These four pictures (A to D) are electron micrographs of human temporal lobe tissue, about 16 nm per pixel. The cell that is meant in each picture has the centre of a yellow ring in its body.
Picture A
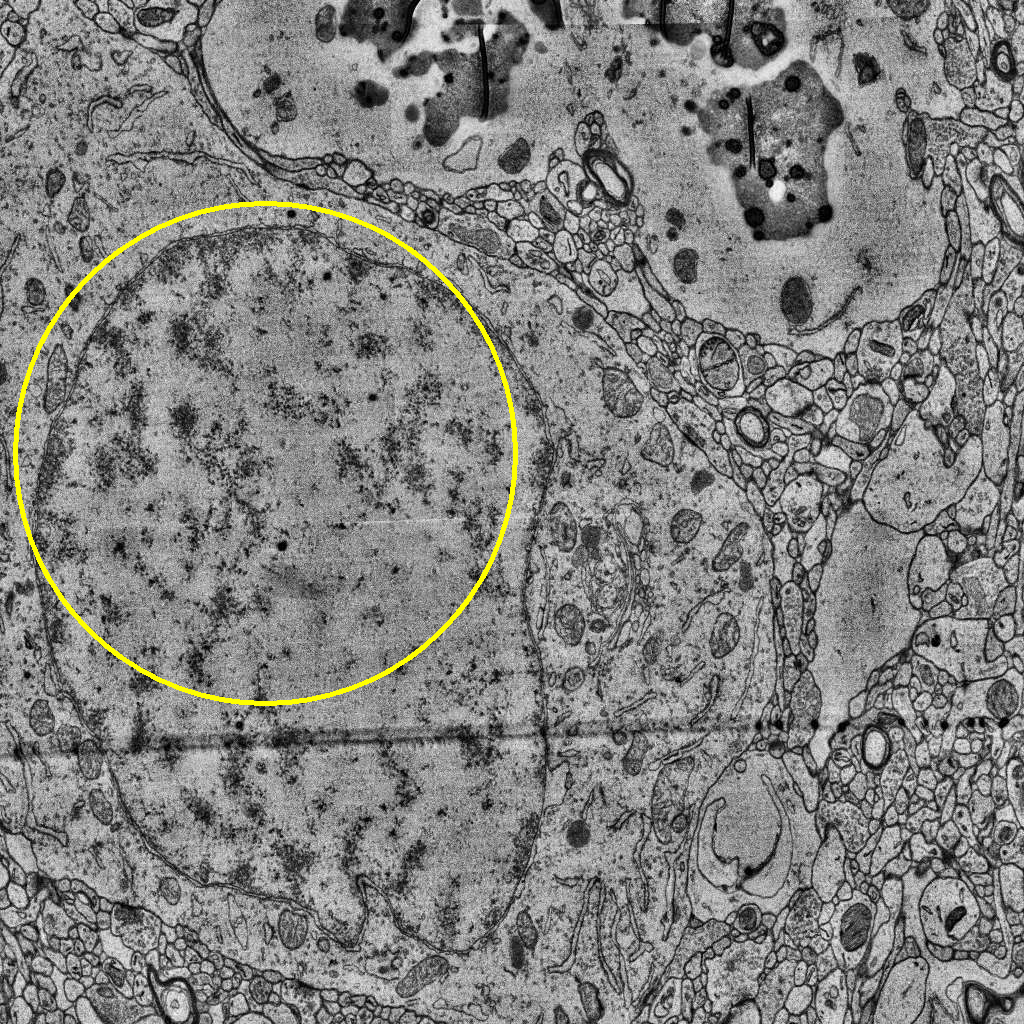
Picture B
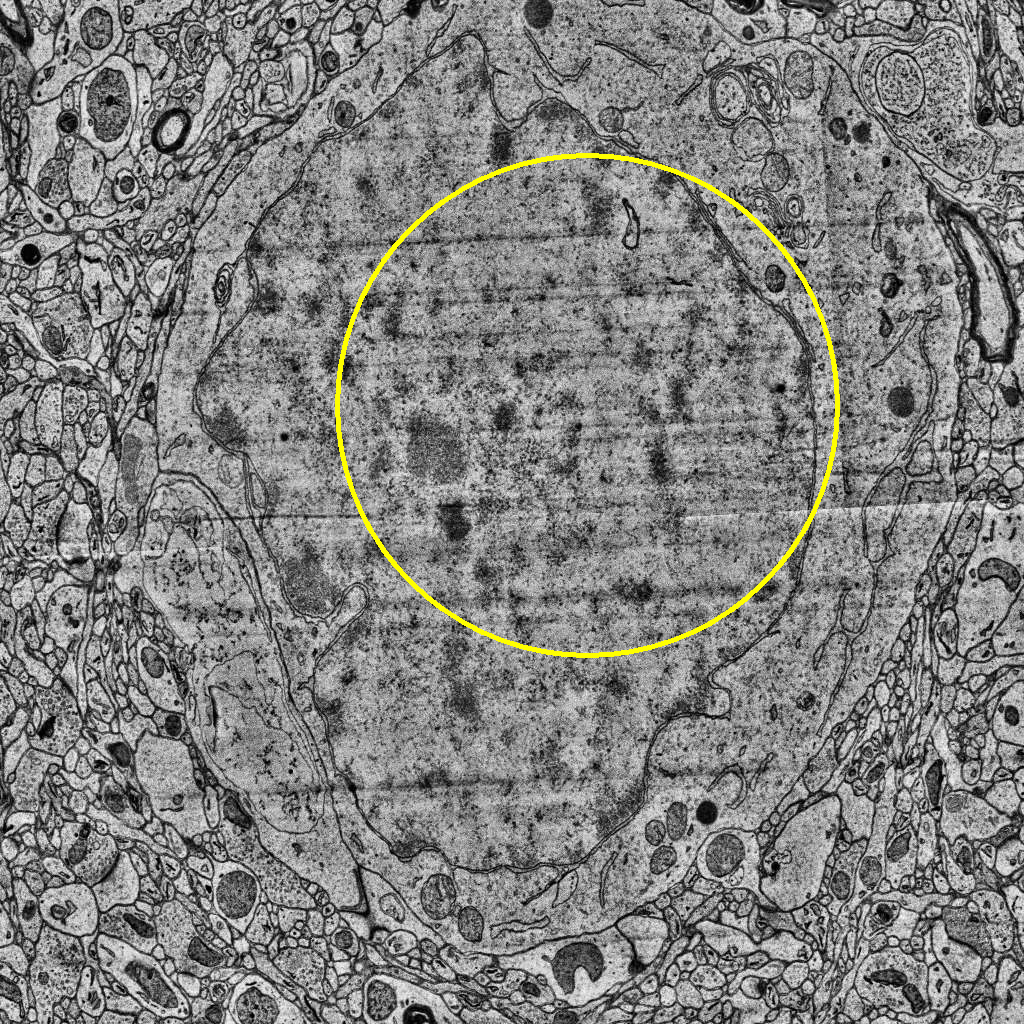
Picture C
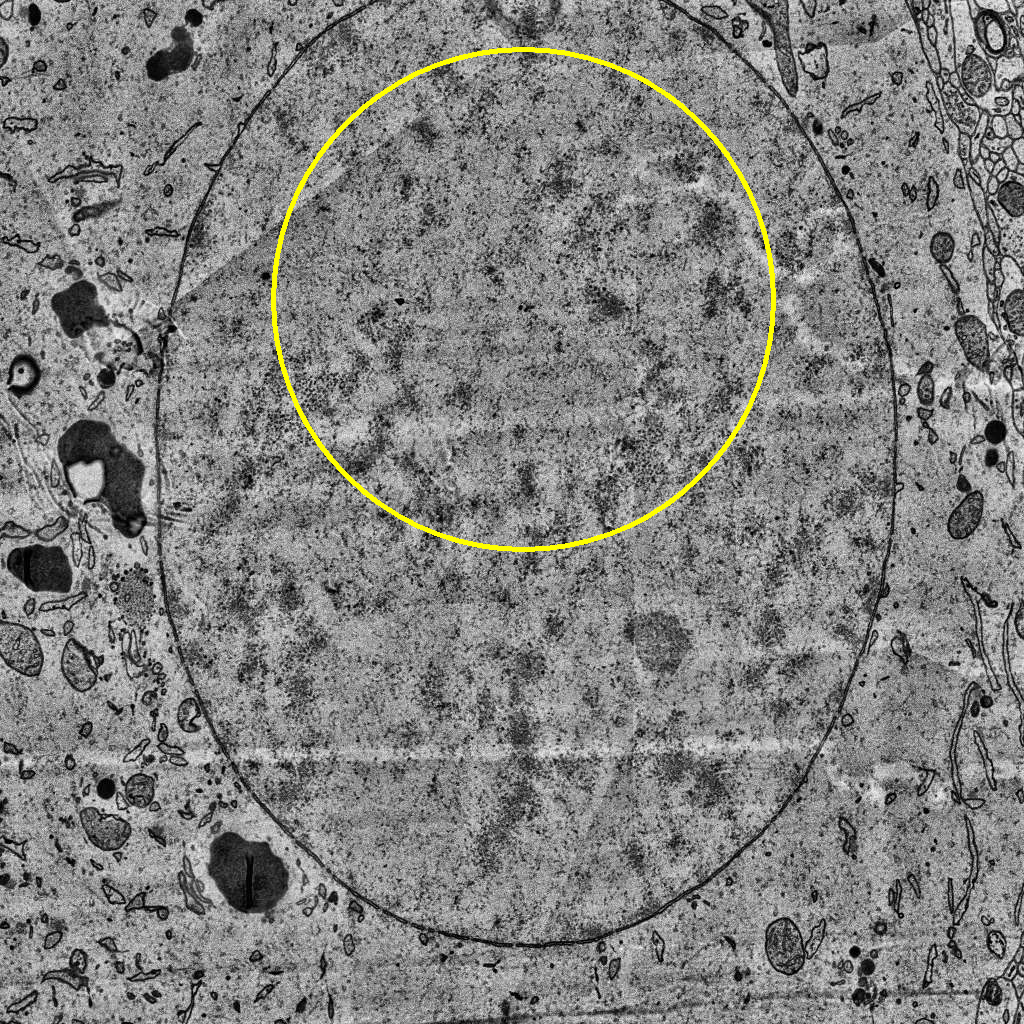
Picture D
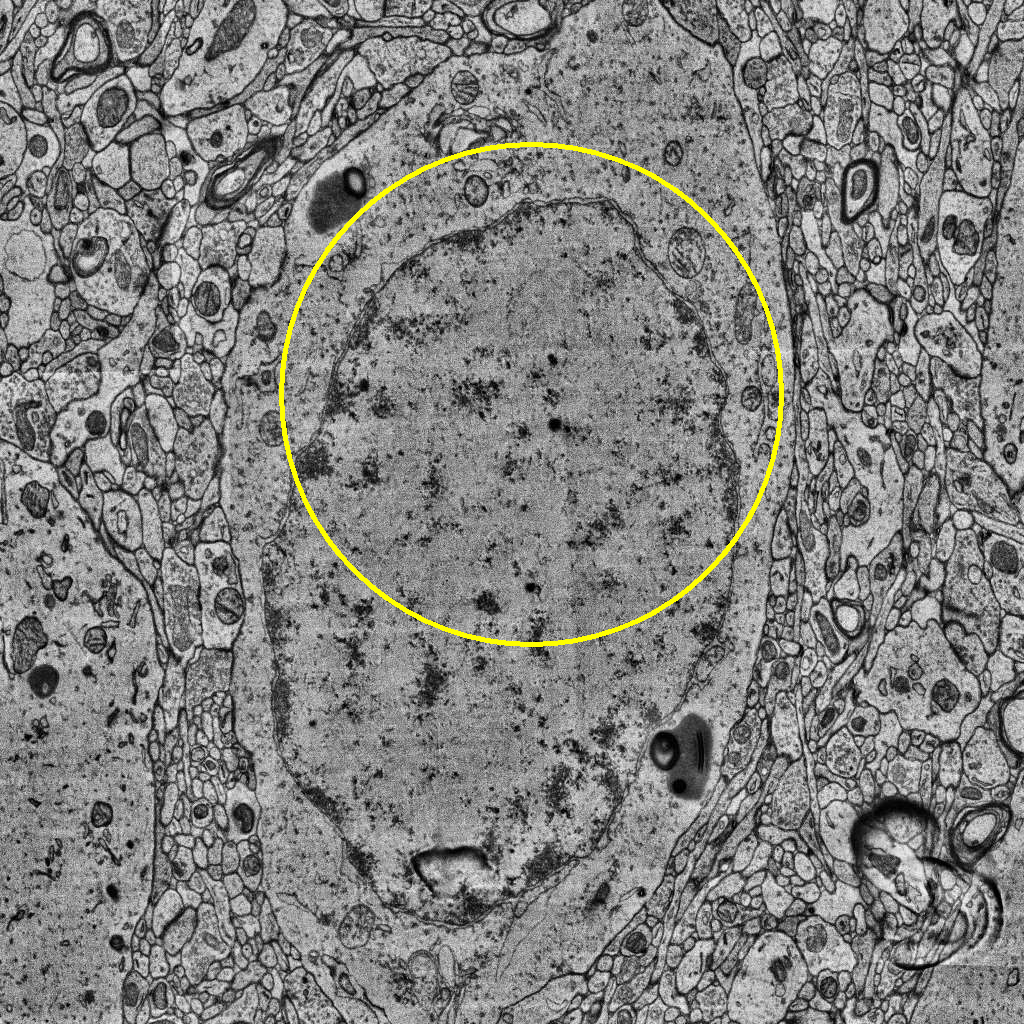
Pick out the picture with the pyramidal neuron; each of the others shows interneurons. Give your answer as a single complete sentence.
Picture C shows the pyramidal neuron.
